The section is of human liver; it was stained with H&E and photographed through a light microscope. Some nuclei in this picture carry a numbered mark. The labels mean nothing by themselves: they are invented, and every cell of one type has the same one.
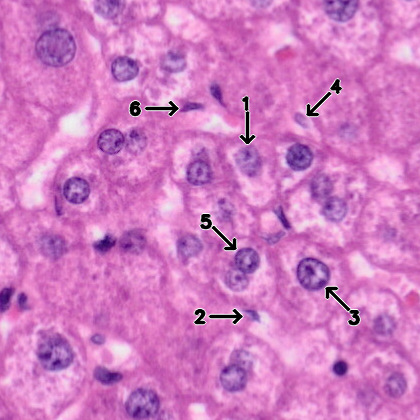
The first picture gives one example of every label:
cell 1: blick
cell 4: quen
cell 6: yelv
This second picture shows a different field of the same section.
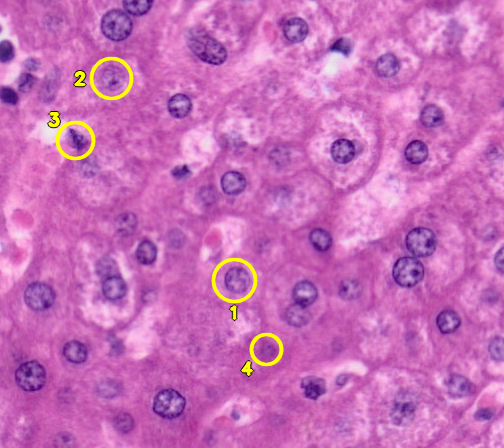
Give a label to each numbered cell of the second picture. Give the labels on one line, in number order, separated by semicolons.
blick; blick; yelv; blick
